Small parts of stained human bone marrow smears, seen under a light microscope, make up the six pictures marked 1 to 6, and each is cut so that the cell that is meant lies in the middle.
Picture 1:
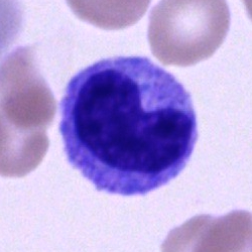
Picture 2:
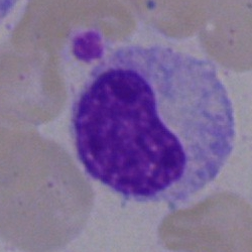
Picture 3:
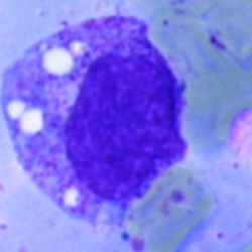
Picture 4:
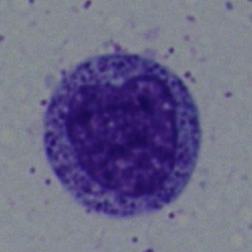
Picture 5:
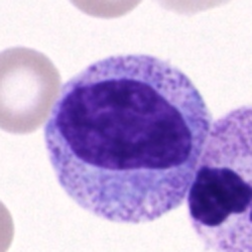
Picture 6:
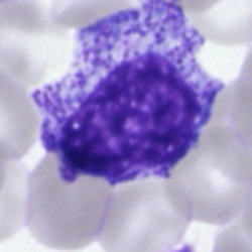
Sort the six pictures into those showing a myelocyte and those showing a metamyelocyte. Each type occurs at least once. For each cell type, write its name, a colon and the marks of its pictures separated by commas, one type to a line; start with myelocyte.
myelocyte: 3, 4, 5, 6
metamyelocyte: 1, 2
